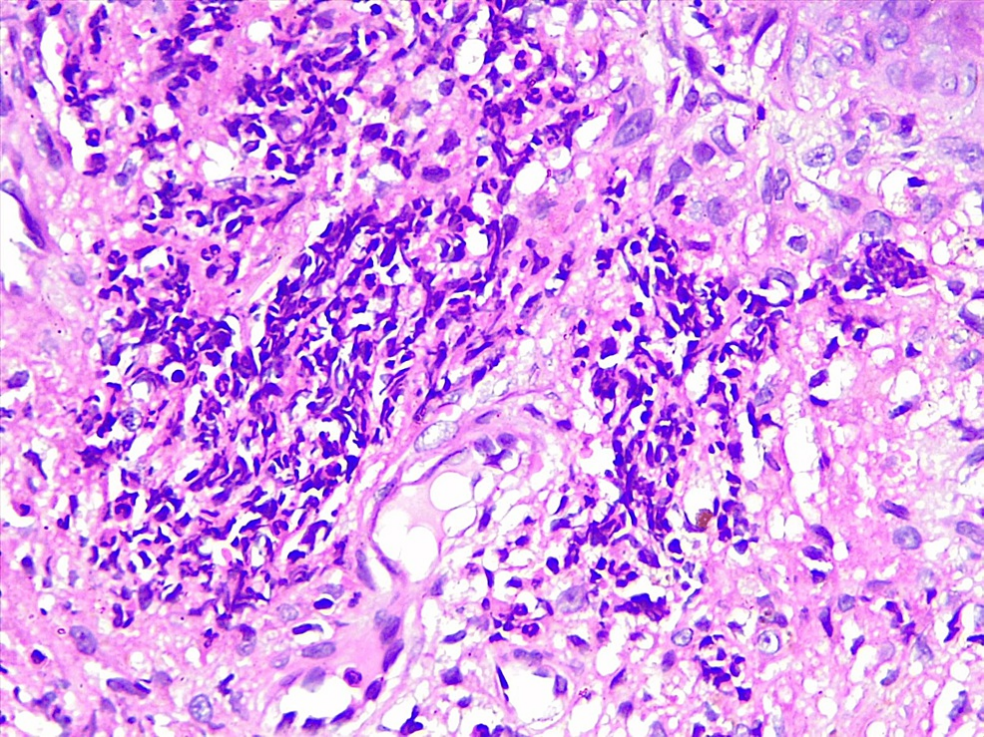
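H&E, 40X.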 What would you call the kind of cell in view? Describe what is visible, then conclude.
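Dense clusters of small cells with dark purple, segmented or lobed nuclei. Scant cytoplasm around the dark nuclei compared with the larger pale-nucleated cells nearby.
Answer: neutrophils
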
